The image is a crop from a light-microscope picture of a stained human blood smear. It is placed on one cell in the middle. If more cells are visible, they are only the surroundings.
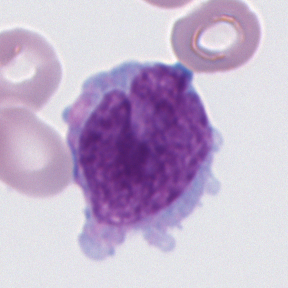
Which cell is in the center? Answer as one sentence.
The cell at the heart of this crop is an atypical promyelocyte.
